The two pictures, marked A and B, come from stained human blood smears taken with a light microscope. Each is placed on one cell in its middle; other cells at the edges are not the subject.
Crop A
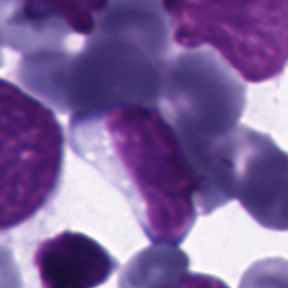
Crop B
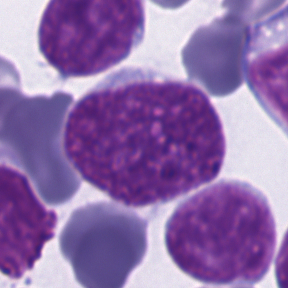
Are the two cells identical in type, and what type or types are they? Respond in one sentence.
Yes, myeloblasts are the cells in the middle of both crops.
